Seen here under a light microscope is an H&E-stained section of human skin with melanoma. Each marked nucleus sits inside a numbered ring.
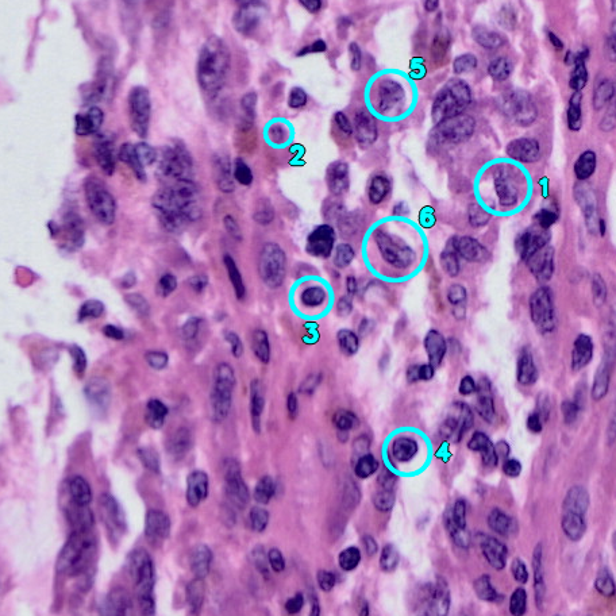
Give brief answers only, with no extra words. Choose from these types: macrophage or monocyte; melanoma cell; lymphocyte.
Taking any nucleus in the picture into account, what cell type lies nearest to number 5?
melanoma cell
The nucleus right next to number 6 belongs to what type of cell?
lymphocyte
